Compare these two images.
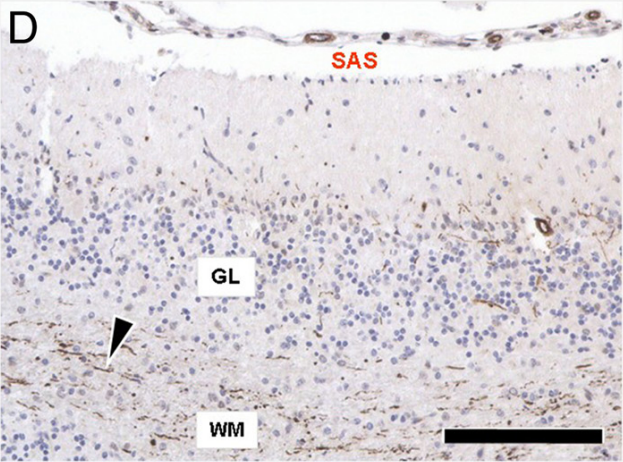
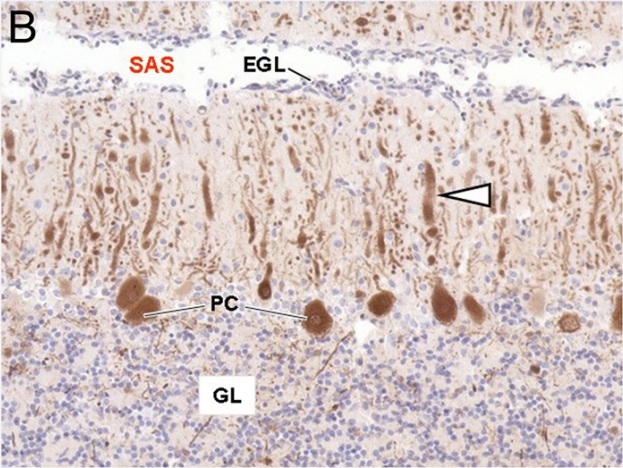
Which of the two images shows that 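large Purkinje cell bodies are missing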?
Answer: the first image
